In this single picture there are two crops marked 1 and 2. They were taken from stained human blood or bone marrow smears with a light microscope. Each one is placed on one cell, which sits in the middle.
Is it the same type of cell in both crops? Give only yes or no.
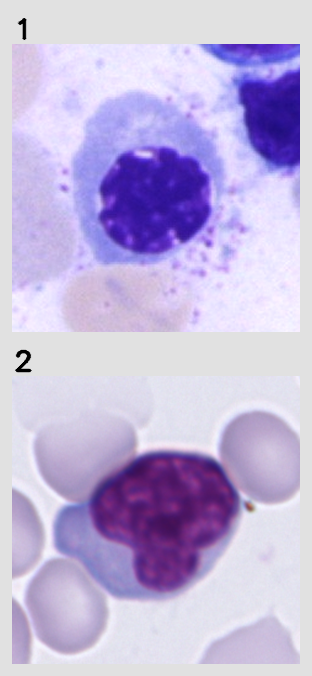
no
